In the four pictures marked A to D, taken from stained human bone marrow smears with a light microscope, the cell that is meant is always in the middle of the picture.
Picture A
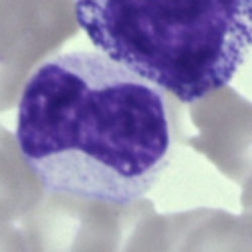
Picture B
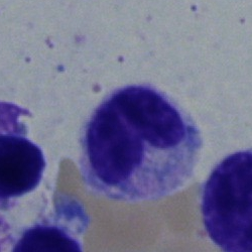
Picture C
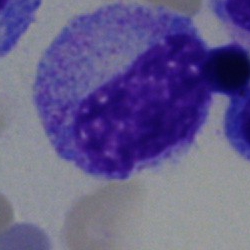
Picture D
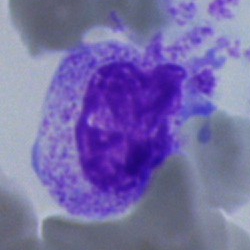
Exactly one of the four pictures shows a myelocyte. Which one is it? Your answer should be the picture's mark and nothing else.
D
